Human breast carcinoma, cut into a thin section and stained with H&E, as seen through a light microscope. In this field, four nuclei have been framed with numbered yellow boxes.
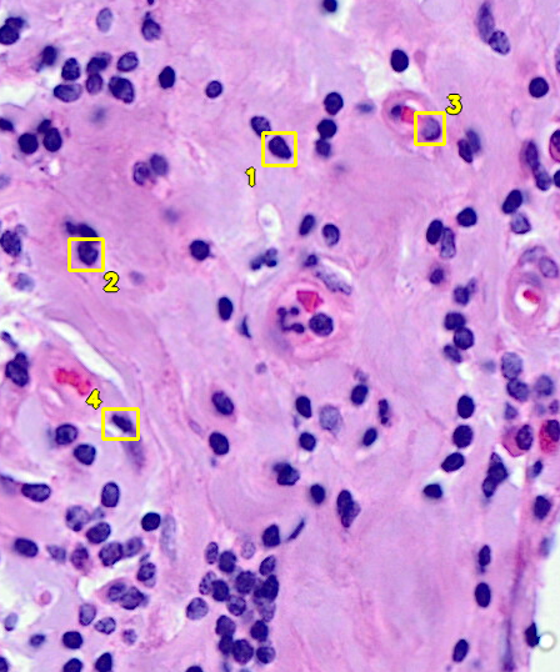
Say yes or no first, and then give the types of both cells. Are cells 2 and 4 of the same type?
Yes, the two cells, 2 and 4, are both lymphocytes.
